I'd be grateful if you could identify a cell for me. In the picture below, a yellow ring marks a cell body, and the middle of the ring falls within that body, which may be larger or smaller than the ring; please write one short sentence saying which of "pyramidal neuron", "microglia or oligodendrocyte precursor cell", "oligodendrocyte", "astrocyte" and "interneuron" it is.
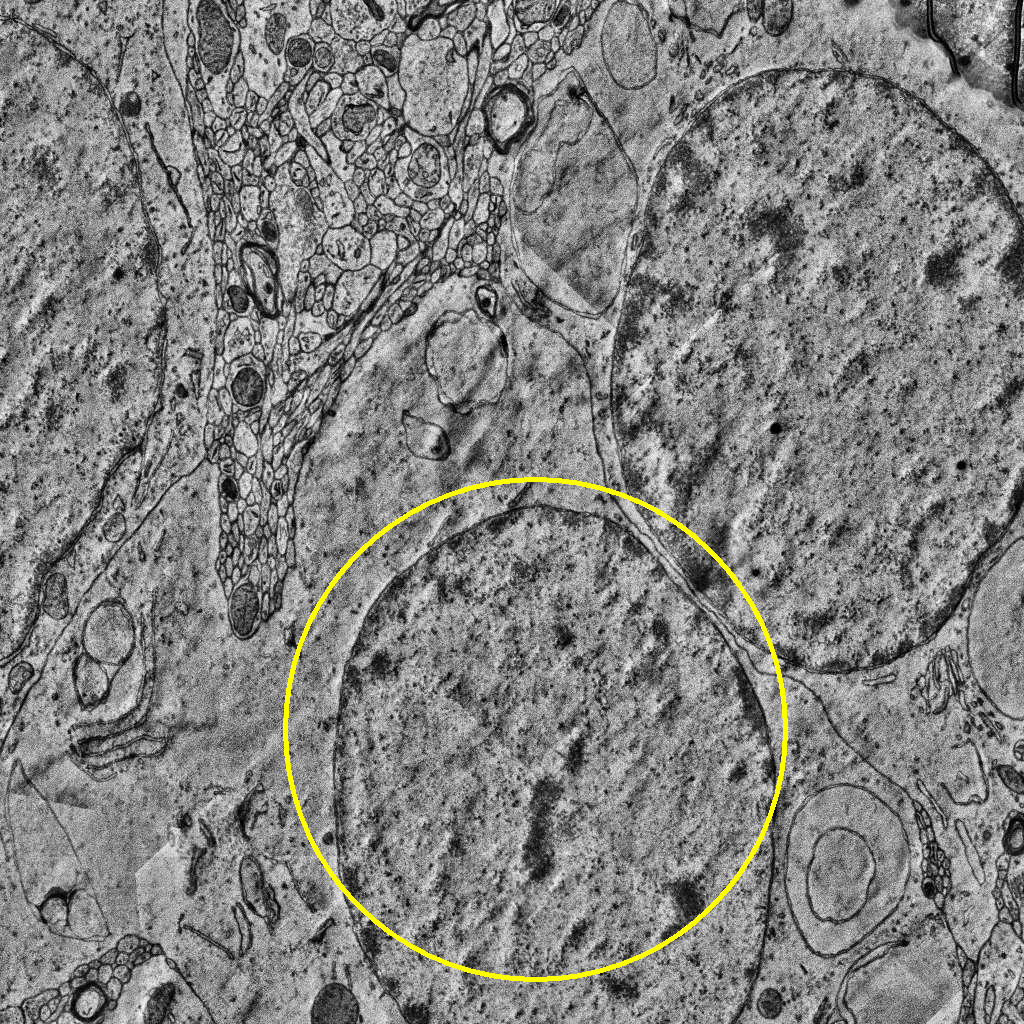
The cell under the ring's centre is an astrocyte.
